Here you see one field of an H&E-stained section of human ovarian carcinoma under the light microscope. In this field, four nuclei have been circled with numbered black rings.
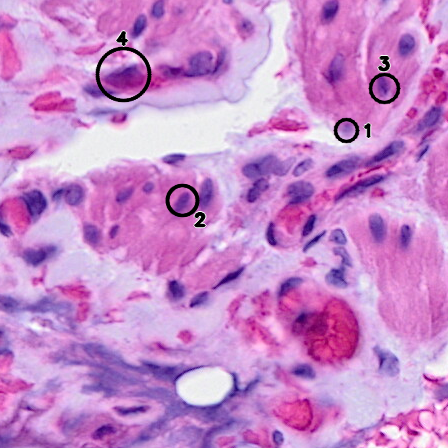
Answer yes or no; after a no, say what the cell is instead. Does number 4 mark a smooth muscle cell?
No, it is an endothelial cell.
